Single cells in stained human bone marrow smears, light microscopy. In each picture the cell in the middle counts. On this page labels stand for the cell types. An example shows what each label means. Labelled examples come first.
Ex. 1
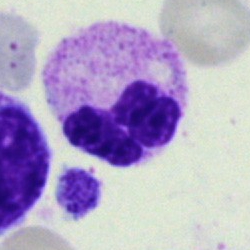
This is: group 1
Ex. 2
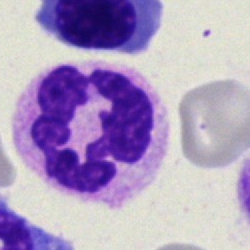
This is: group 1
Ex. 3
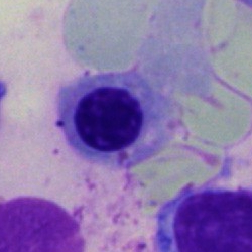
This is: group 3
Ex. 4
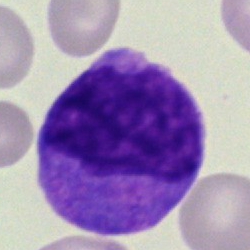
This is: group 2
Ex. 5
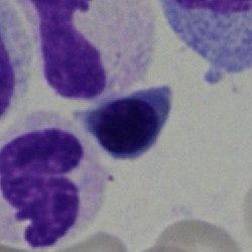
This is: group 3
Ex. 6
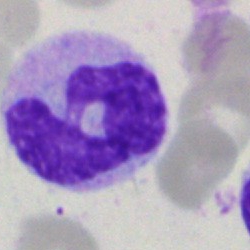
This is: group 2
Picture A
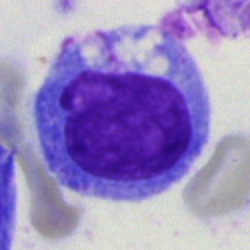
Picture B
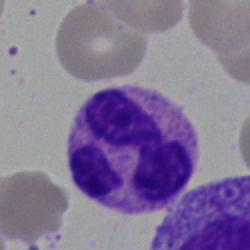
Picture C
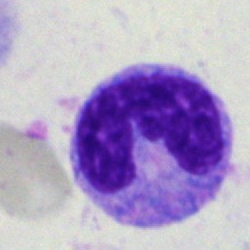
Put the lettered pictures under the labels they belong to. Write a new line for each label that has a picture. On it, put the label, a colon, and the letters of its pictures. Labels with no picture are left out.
group 1: B
group 2: A, C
